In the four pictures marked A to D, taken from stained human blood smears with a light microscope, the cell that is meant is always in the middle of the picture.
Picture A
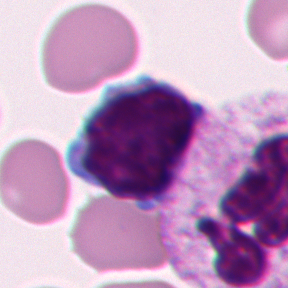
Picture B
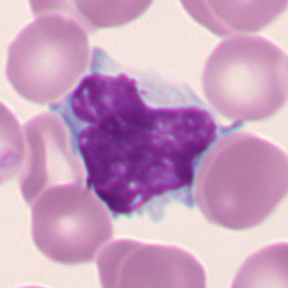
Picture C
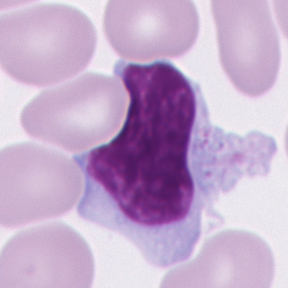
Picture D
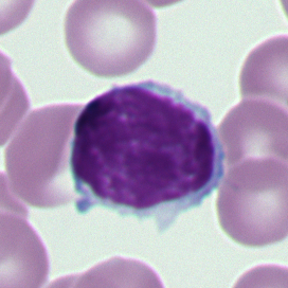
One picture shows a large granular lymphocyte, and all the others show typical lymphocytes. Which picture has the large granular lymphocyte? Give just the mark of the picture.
C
